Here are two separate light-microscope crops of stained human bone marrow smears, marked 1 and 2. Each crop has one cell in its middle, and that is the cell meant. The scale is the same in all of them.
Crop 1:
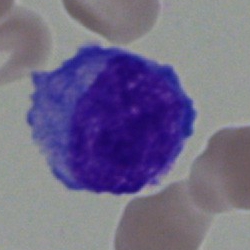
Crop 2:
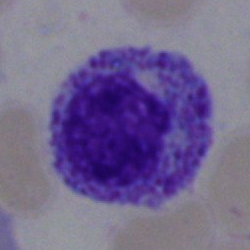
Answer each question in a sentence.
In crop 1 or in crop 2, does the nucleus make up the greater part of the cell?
It is the cell in crop 1 that is filled more by its nucleus.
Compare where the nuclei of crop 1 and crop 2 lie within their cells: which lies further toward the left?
In crop 2 the nucleus is shifted more toward the left.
